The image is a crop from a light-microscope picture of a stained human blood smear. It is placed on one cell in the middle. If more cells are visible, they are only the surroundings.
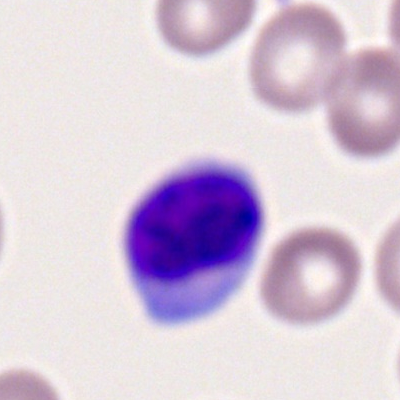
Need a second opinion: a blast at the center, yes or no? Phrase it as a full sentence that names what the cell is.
No, looking at the central cell, it is a lymphocyte rather than a blast.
